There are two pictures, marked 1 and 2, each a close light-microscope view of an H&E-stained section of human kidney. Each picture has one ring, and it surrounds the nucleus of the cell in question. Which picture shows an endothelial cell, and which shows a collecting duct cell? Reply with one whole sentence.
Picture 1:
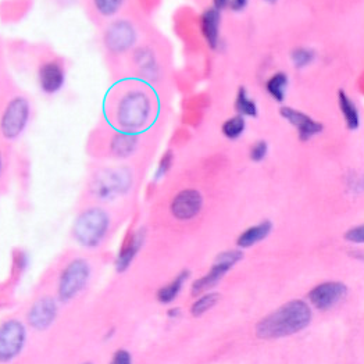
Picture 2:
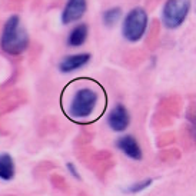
Picture 1 shows a collecting duct cell and picture 2 shows an endothelial cell.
